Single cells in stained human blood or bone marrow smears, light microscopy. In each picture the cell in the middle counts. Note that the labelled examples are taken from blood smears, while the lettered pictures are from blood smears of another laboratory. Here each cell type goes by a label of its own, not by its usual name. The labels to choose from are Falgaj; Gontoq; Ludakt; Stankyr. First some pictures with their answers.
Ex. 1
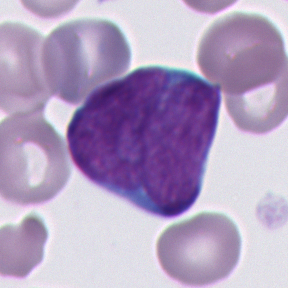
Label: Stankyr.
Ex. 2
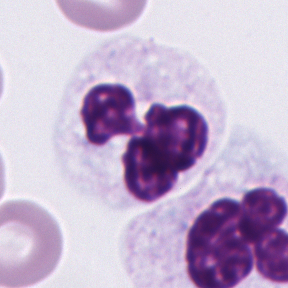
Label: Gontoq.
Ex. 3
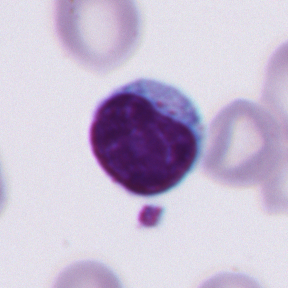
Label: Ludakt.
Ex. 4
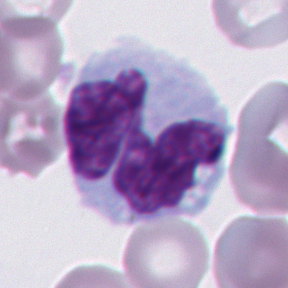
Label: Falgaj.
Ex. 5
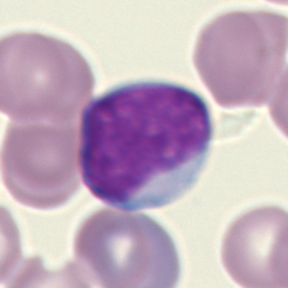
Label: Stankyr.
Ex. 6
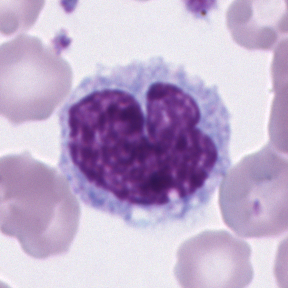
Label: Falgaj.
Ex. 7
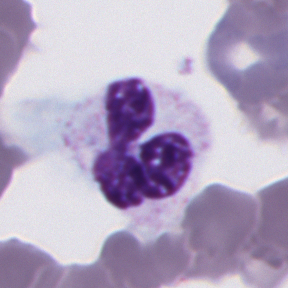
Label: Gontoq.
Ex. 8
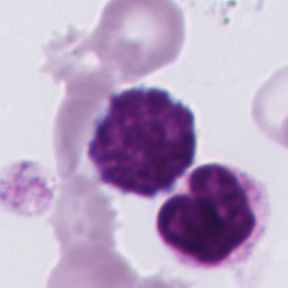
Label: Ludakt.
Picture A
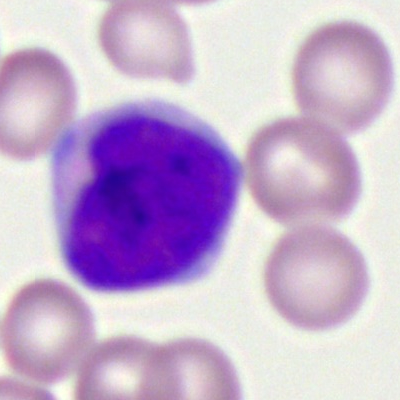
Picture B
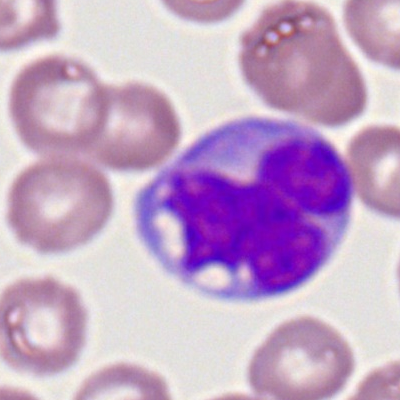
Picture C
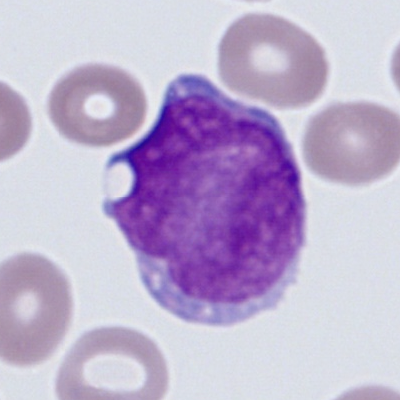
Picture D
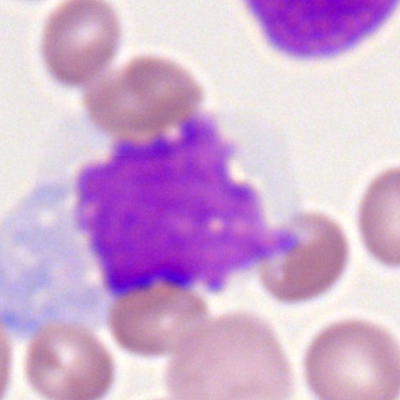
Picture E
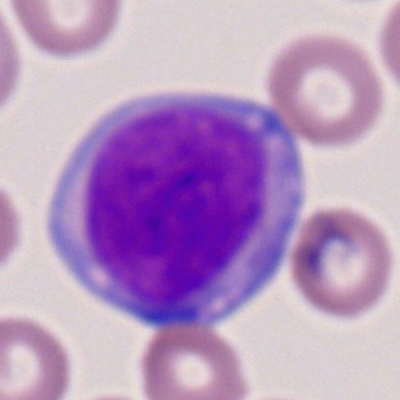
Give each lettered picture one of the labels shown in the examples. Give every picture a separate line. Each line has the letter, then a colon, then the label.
A: Stankyr.
B: Falgaj.
C: Stankyr.
D: Falgaj.
E: Stankyr.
